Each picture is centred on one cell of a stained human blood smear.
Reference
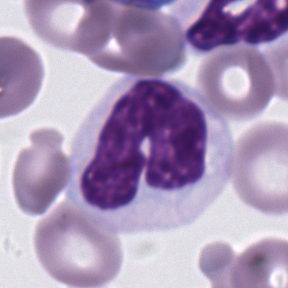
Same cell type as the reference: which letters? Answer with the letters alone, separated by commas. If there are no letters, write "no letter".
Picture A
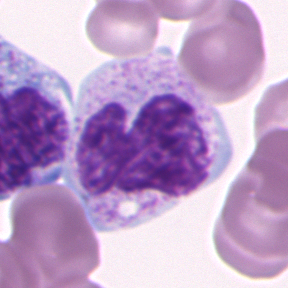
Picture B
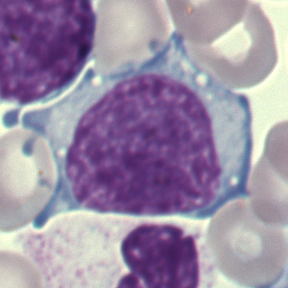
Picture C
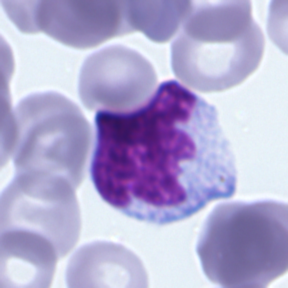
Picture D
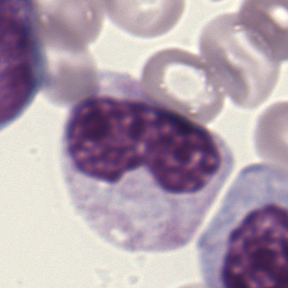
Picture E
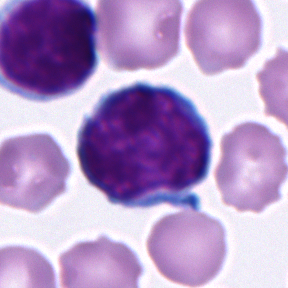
A, D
